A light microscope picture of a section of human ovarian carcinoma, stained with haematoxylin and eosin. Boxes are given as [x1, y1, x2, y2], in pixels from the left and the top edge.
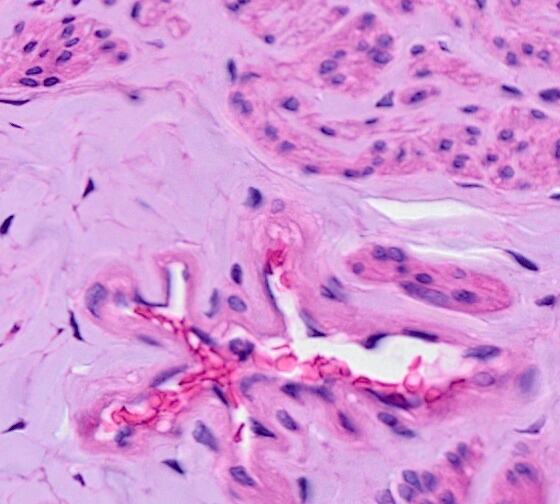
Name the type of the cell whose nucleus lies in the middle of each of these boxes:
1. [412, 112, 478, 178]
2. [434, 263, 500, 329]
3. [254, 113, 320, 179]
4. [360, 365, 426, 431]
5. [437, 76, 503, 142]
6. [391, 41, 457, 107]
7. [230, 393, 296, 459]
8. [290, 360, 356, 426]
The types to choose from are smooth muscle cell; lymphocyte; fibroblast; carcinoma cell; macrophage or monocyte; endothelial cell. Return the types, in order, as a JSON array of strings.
["smooth muscle cell", "smooth muscle cell", "smooth muscle cell", "endothelial cell", "smooth muscle cell", "smooth muscle cell", "endothelial cell", "endothelial cell"]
